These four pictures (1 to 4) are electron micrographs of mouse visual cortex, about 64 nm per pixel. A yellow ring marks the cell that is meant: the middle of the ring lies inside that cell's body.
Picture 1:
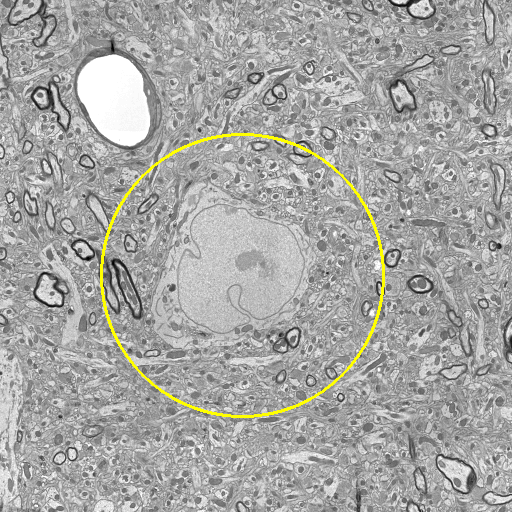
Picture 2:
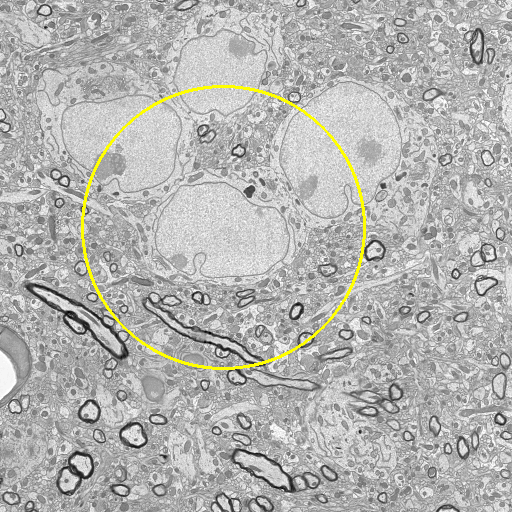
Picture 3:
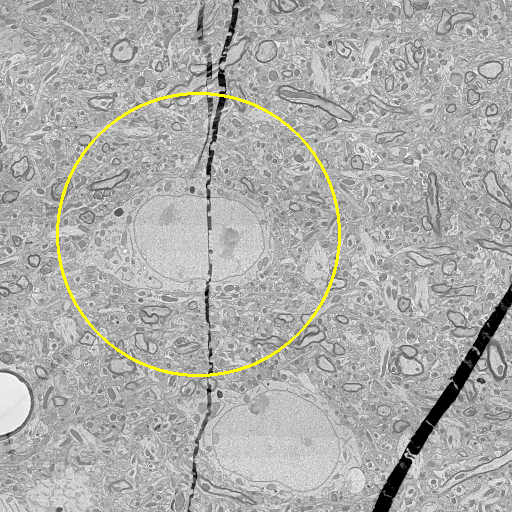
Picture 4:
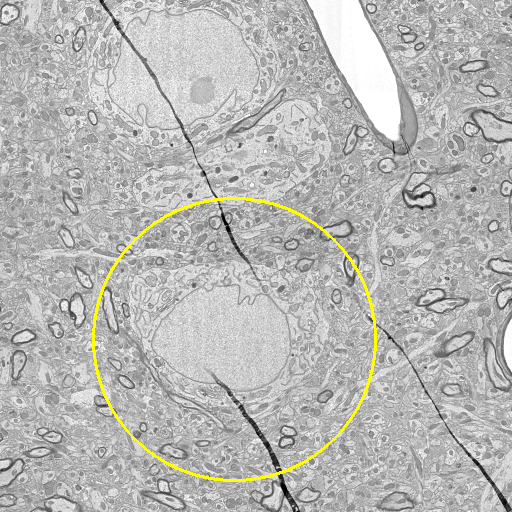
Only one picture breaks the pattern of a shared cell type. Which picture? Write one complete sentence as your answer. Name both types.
The different one is picture 4; it shows an inhibitory neuron, whereas all the others show excitatory neurons.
